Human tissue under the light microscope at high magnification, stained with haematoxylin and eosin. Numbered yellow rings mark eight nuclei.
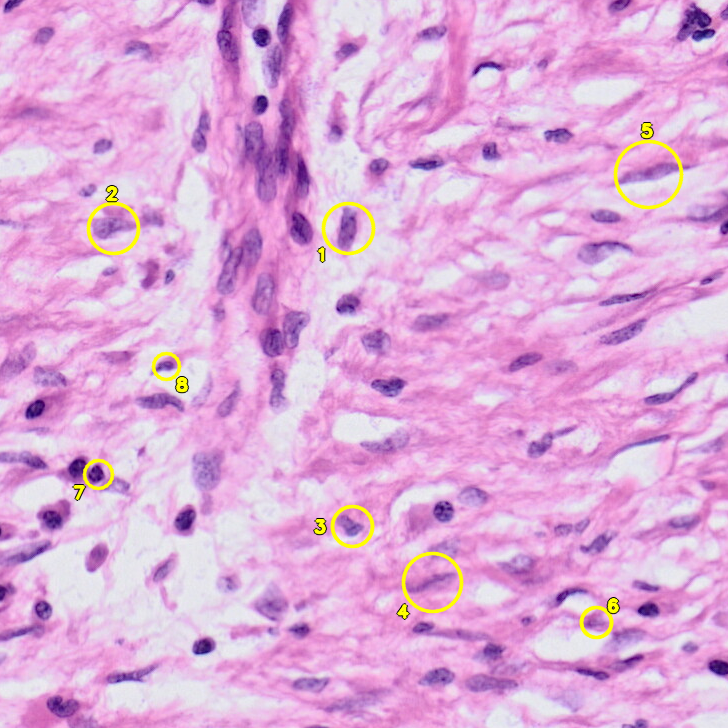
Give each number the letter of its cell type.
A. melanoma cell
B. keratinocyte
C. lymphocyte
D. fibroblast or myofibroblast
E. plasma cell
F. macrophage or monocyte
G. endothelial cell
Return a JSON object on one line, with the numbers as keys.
{"1": "F", "2": "D", "3": "F", "4": "D", "5": "D", "6": "D", "7": "E", "8": "D"}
